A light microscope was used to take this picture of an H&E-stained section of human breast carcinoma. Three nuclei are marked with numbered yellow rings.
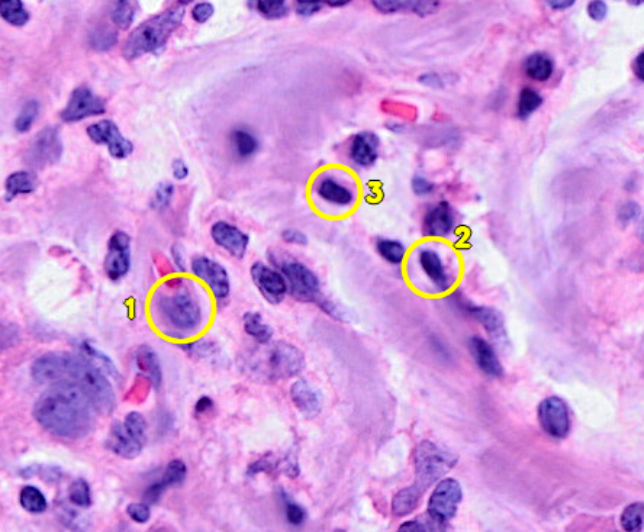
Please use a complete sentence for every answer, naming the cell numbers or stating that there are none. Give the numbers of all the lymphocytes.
The numbers 2 and 3 in this section indicate lymphocytes.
